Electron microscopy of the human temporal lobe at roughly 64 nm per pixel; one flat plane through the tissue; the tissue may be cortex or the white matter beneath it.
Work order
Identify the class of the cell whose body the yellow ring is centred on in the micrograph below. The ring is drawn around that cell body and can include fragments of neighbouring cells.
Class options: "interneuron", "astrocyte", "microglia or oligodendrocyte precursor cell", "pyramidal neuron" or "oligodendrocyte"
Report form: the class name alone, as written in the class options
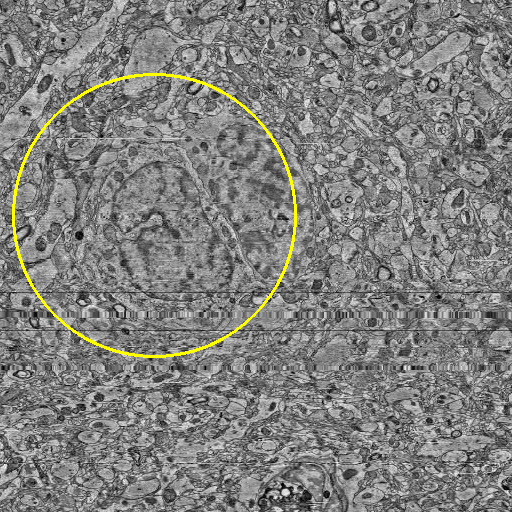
interneuron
